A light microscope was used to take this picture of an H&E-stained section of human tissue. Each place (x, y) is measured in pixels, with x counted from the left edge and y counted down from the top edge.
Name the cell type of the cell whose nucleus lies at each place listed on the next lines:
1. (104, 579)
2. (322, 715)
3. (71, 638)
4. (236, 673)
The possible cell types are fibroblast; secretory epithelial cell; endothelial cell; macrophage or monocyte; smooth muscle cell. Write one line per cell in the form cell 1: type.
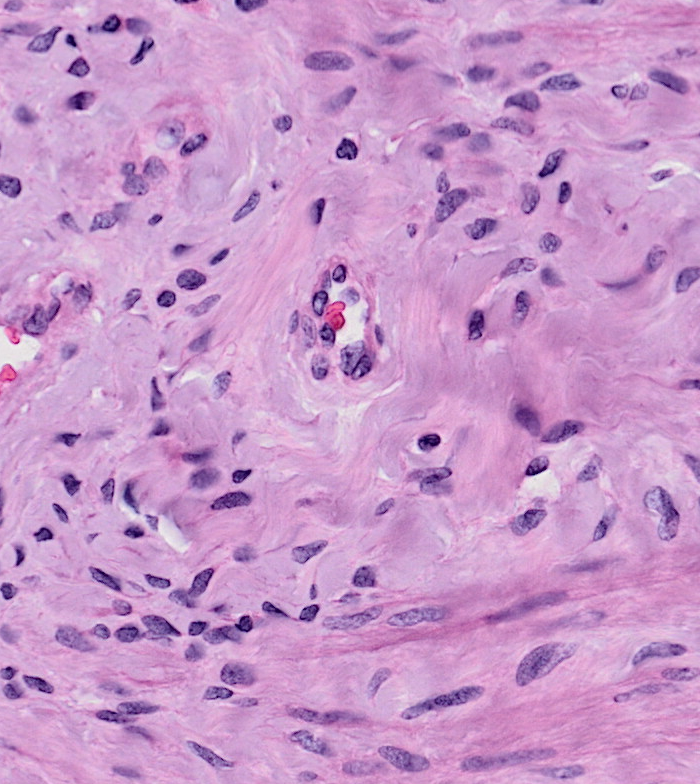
cell 1: fibroblast
cell 2: smooth muscle cell
cell 3: fibroblast
cell 4: fibroblast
